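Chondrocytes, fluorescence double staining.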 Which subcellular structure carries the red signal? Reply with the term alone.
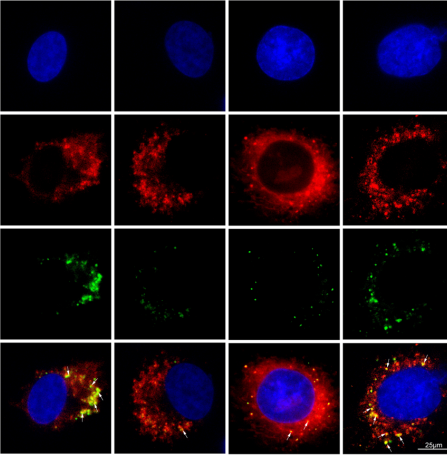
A: Mitochondria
